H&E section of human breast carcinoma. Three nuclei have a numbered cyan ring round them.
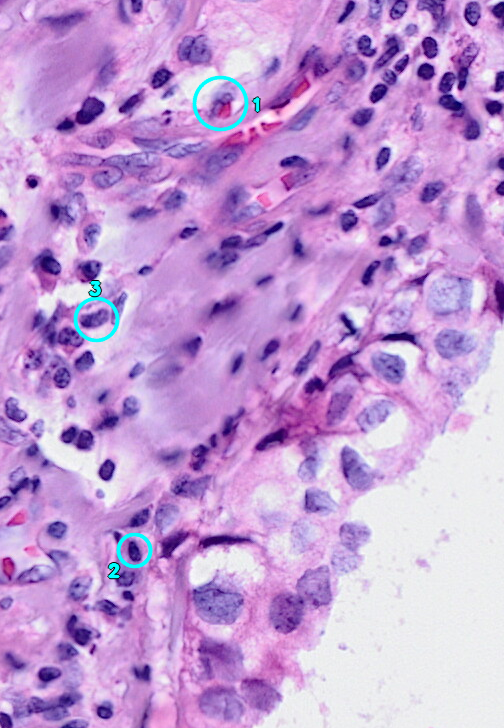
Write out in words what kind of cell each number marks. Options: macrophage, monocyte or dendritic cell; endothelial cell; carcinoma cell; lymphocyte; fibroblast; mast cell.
Cell 1 is an endothelial cell, cell 2 is a lymphocyte and cell 3 is a lymphocyte.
